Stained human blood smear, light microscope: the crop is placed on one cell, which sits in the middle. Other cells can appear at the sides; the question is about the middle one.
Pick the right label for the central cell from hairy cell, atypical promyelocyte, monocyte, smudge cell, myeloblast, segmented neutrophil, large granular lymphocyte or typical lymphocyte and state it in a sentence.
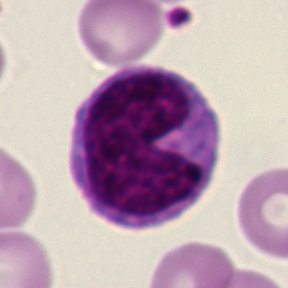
The cell centered in this field of view is a monocyte.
